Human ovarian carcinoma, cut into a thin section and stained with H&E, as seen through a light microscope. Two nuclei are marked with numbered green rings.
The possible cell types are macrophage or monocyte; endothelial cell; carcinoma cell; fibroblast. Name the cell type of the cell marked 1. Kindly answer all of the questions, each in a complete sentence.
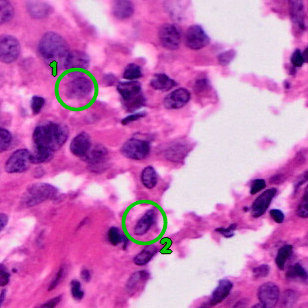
The marked cell bearing number 1 is a carcinoma cell.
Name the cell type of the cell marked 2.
The cell that is numbered 2 is a macrophage or monocyte.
